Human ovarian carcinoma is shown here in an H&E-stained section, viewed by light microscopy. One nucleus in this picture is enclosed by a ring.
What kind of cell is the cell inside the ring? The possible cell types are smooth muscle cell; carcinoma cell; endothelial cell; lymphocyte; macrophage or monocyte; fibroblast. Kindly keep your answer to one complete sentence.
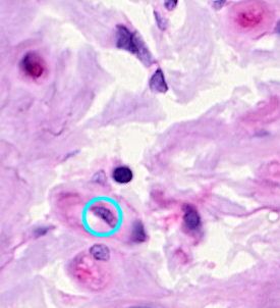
Cytologically, the cell inside the ring is to be regarded as an endothelial cell.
